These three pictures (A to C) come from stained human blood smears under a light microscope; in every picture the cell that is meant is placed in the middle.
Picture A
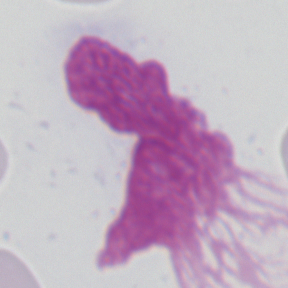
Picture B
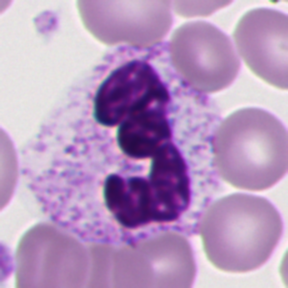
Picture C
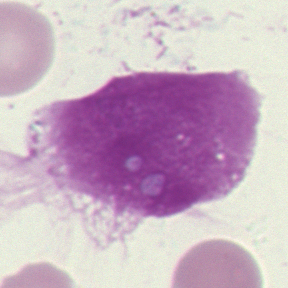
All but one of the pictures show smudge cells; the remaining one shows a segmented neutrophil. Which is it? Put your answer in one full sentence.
The picture with the segmented neutrophil is B.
